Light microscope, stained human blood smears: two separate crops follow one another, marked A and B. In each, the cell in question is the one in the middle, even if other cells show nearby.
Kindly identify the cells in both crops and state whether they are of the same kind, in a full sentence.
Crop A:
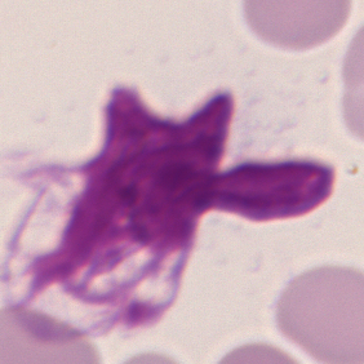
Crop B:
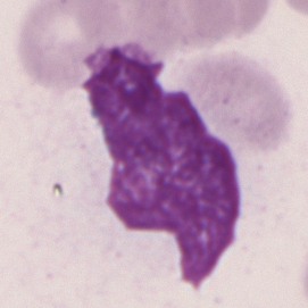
Yes, as for both crops, the cells shown are smudge cells.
